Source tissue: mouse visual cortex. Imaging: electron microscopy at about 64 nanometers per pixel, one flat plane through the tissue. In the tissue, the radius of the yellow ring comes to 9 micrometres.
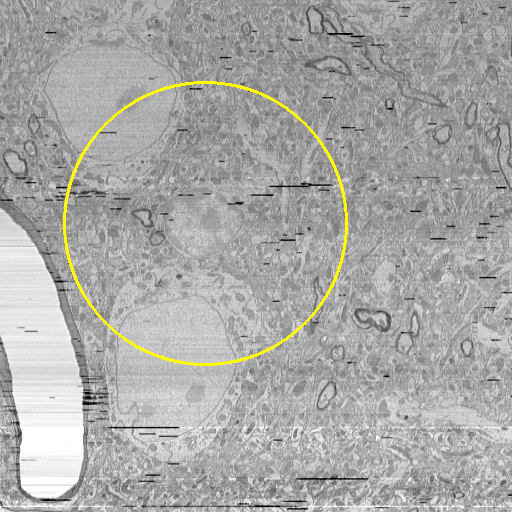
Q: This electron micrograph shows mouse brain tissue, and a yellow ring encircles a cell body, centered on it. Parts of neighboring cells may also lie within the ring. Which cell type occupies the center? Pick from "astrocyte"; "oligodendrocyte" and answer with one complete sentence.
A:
What sits at the ring's center in this micrograph is an oligodendrocyte, among those choices.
